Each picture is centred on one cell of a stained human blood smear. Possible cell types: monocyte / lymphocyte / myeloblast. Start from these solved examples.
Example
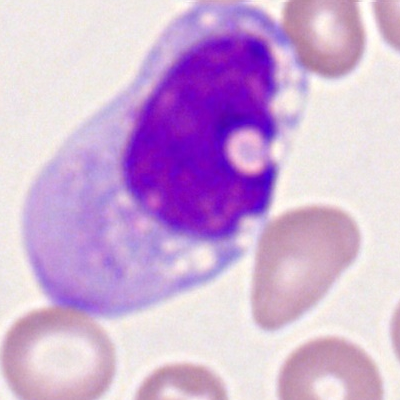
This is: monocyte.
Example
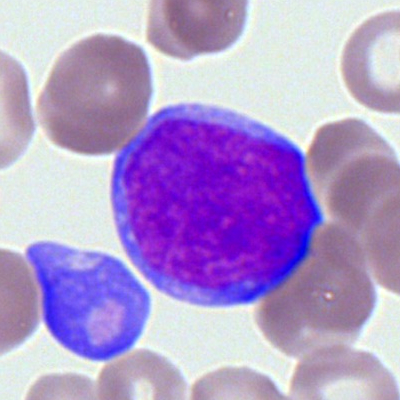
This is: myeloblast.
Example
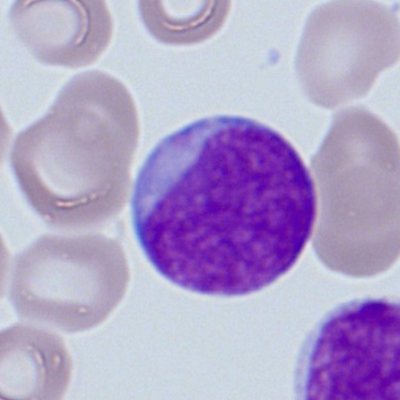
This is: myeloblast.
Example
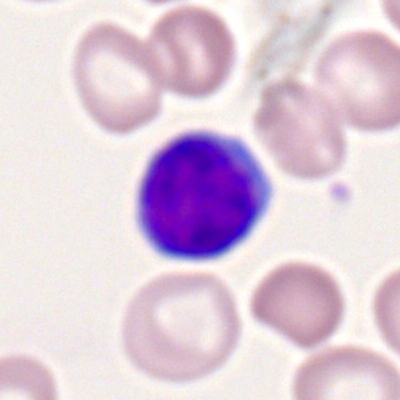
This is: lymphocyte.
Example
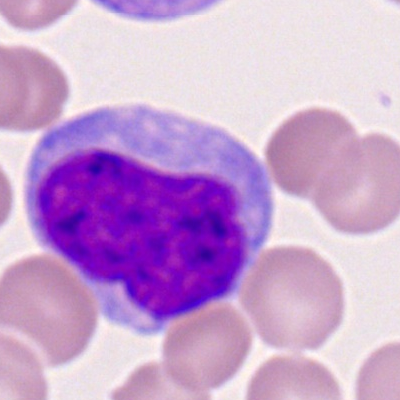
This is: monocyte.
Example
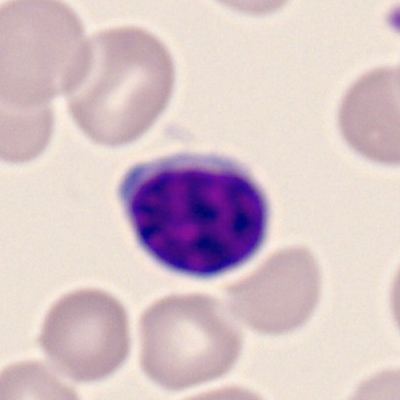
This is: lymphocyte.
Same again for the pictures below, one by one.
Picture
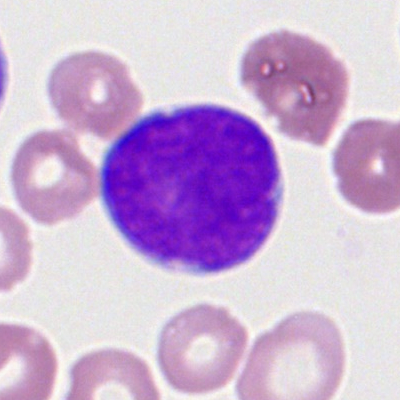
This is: myeloblast.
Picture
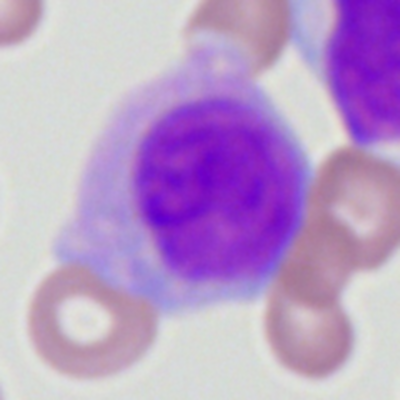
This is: monocyte.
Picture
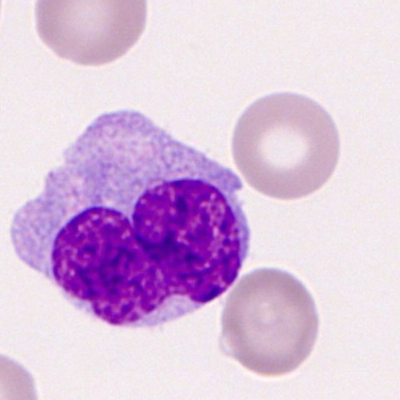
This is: monocyte.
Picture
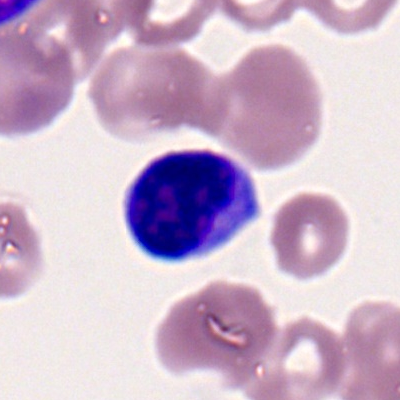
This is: lymphocyte.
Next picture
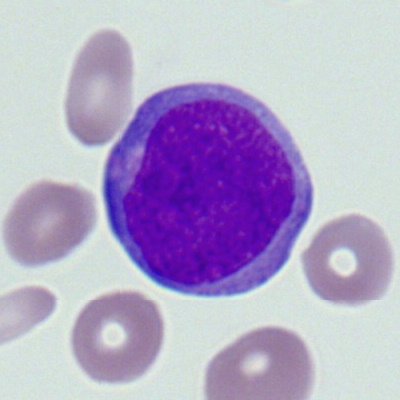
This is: myeloblast.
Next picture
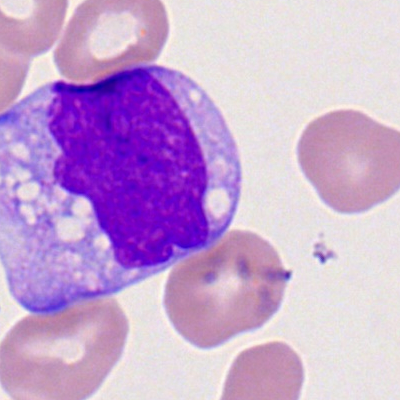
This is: monocyte.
